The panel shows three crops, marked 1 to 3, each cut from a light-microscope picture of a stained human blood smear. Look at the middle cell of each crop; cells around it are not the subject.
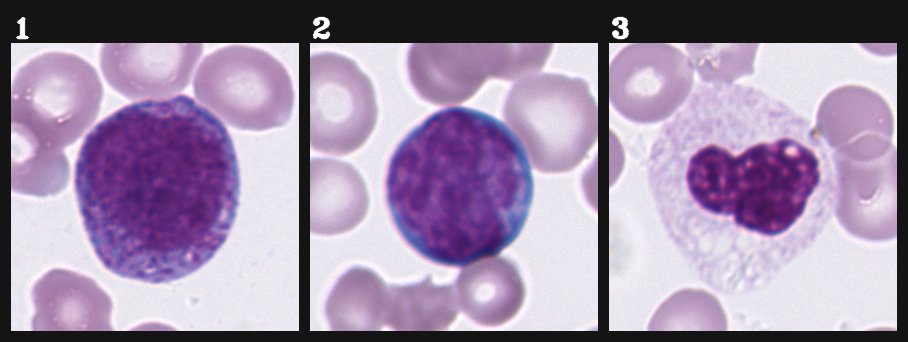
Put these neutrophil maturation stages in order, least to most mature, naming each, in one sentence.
Ordered from the youngest stage to the most mature, the crops are crop 2 (a myeloblast), crop 1 (a promyelocyte) and crop 3 (a segmented neutrophil).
